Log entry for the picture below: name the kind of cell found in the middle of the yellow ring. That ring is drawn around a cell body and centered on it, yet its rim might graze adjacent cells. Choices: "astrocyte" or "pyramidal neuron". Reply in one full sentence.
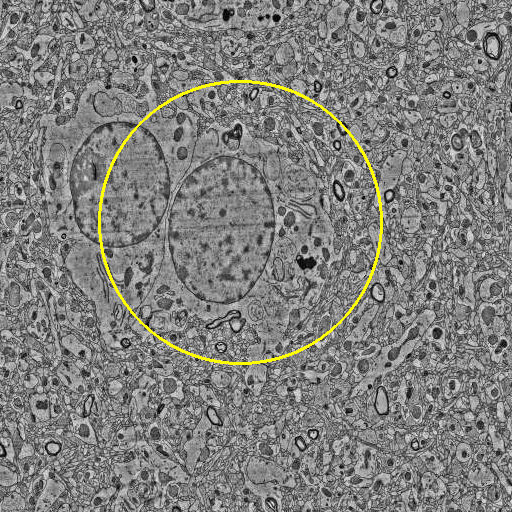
The cell in the middle of the yellow ring in this picture is an astrocyte.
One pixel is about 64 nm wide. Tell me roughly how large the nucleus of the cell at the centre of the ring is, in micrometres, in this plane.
About 9 by 7 micrometers for the nucleus, in this plane.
